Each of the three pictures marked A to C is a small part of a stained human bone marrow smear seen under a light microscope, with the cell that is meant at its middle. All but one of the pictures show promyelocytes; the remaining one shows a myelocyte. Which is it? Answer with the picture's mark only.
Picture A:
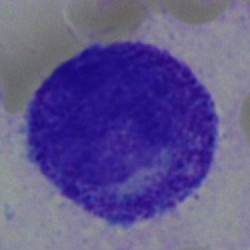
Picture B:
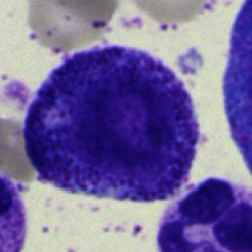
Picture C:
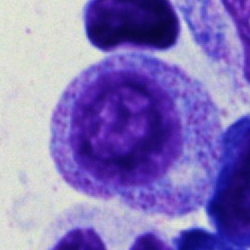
C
